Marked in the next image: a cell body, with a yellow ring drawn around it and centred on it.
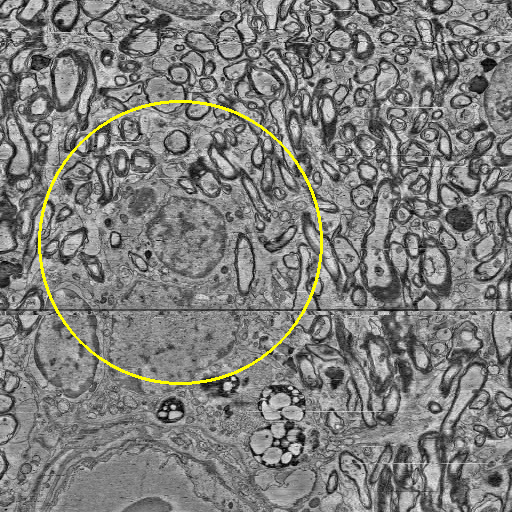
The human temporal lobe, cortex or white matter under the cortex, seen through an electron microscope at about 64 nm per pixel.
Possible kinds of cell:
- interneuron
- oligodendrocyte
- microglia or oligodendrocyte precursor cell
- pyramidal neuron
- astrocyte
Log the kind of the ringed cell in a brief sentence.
The ringed cell body is that of an oligodendrocyte.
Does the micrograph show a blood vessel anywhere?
Yes.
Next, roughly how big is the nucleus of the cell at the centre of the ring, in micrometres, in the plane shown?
Roughly 5 micrometres across for the nucleus, in this plane.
